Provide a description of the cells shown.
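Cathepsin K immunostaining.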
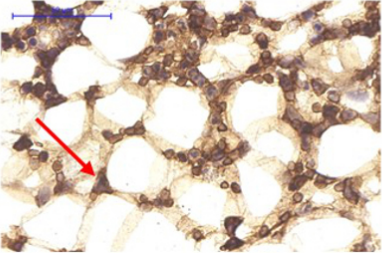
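This is bone marrow seen in the medullary region. Numerous large, round, empty spaces resembling fat vacuoles are separated by thin strands of tissue. Crowded in these strands are many small round cells with dark, densely stained nuclei. The background tissue and many of the cells take up a brown stain. A few larger brown-stained cells lie between the vacuoles, and one is marked by an arrow.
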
